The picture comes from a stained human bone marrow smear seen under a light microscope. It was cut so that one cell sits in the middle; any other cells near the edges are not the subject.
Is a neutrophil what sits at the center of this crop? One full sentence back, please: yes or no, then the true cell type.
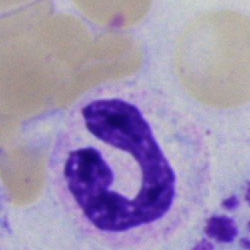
Yes, the cell occupying the middle of the crop is a neutrophil.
